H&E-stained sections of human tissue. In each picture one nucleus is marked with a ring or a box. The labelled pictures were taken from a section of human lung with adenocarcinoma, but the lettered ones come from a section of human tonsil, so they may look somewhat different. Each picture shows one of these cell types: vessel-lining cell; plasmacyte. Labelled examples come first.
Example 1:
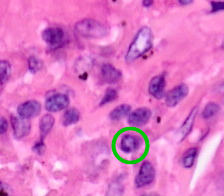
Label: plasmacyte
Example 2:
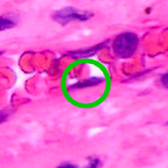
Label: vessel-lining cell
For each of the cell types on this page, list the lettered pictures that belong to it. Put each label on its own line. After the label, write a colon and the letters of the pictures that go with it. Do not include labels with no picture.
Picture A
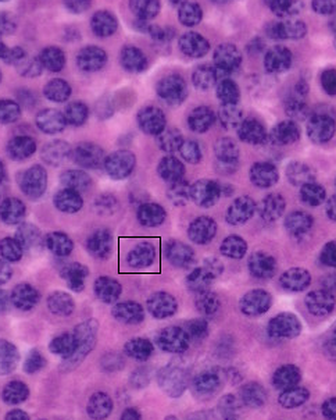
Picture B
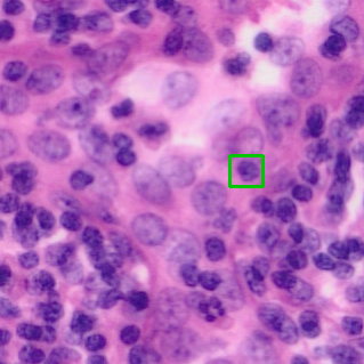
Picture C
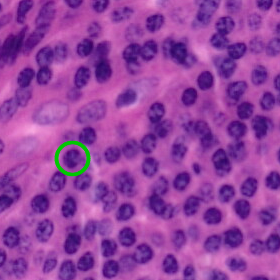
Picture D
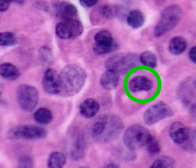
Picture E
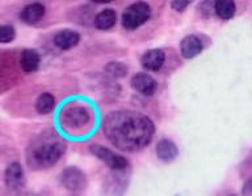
vessel-lining cell: B
plasmacyte: A, C, D, E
